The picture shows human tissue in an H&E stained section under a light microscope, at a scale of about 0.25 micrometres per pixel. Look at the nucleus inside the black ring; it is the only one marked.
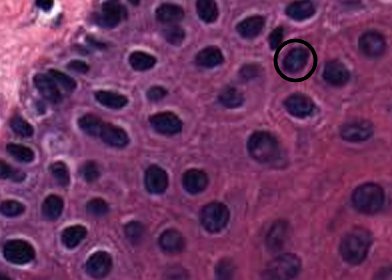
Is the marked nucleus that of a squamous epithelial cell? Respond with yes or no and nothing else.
yes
